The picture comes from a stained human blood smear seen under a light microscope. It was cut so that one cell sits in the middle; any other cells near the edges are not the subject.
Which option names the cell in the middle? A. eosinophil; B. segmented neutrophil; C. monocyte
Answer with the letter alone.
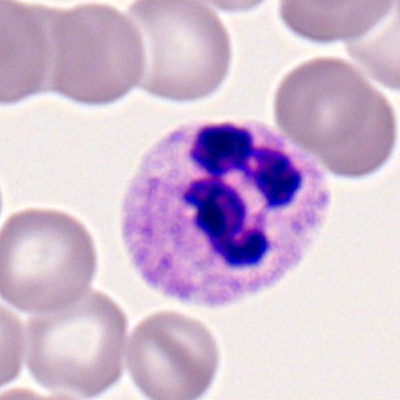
B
